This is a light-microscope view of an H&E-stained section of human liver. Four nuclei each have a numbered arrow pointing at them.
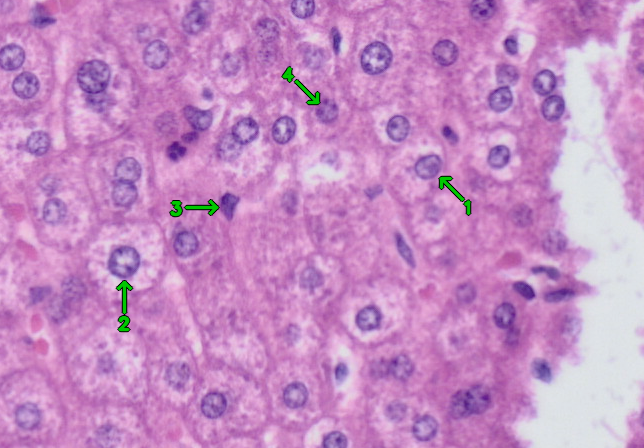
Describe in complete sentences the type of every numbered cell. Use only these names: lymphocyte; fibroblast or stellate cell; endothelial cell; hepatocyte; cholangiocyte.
Cell 1 is a hepatocyte, cell 2 is a hepatocyte, cell 3 is an endothelial cell and cell 4 is a hepatocyte.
